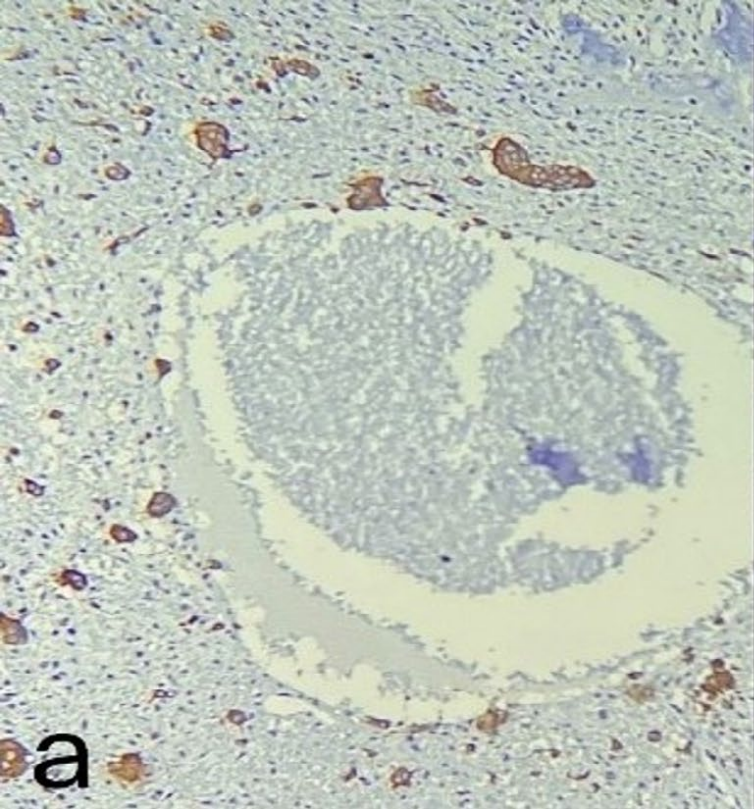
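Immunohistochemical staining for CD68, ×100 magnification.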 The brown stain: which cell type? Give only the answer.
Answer: Giant cells.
